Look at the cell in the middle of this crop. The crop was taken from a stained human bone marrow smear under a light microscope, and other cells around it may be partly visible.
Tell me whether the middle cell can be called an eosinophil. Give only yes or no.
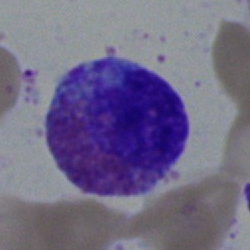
yes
